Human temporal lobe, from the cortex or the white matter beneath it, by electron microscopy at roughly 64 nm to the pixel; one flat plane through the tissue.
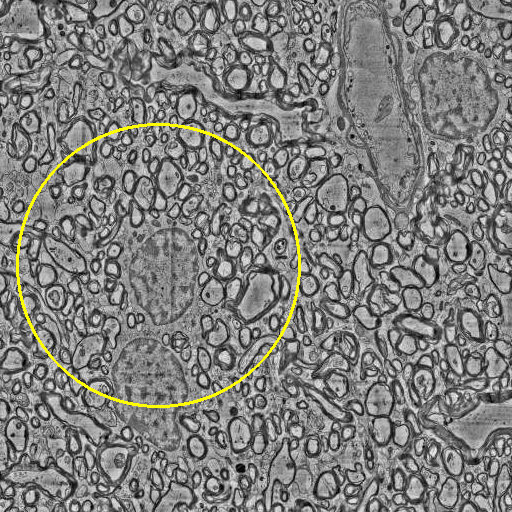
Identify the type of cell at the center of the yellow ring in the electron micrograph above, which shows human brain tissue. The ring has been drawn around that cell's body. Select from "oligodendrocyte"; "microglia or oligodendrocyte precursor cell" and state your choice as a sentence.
The yellow ring is centered on the body of an oligodendrocyte.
